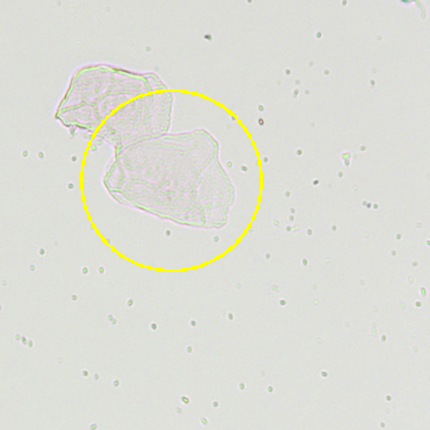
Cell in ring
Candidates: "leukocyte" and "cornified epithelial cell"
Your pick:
cornified epithelial cell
